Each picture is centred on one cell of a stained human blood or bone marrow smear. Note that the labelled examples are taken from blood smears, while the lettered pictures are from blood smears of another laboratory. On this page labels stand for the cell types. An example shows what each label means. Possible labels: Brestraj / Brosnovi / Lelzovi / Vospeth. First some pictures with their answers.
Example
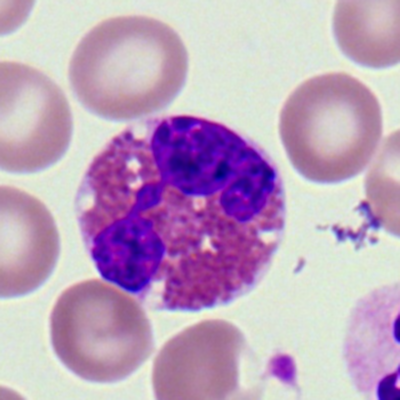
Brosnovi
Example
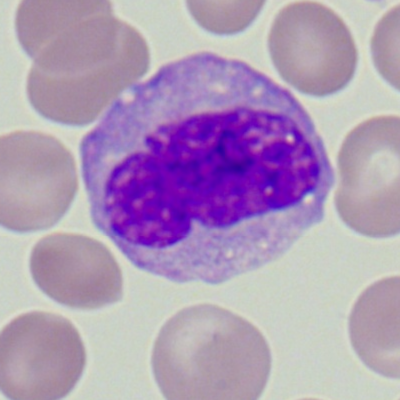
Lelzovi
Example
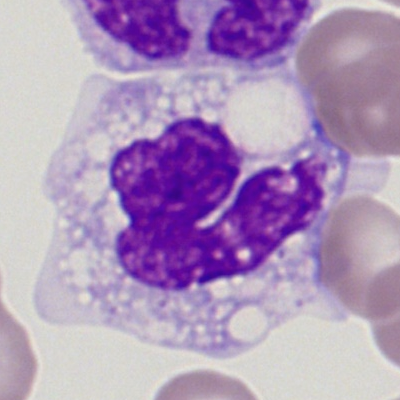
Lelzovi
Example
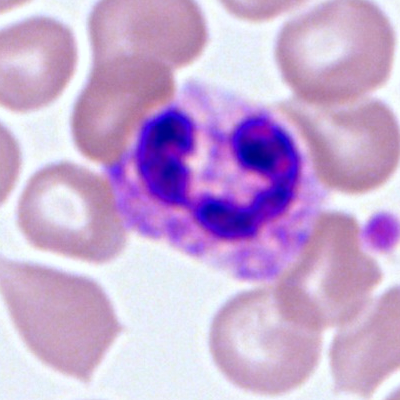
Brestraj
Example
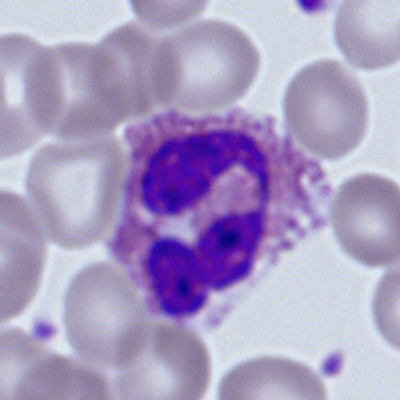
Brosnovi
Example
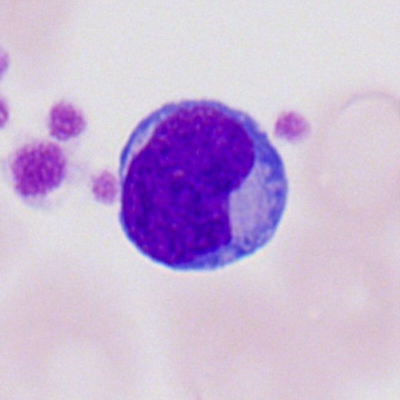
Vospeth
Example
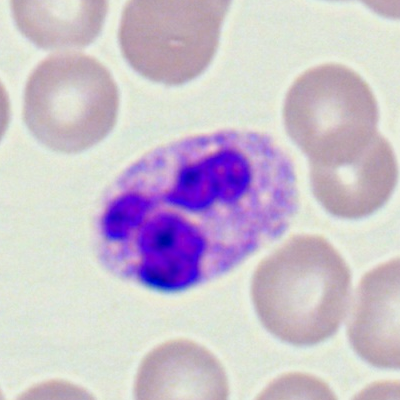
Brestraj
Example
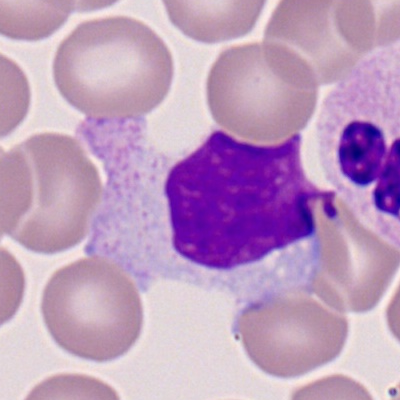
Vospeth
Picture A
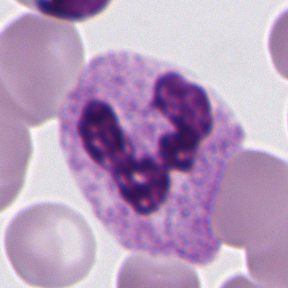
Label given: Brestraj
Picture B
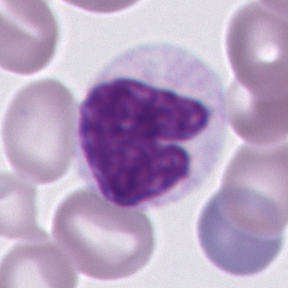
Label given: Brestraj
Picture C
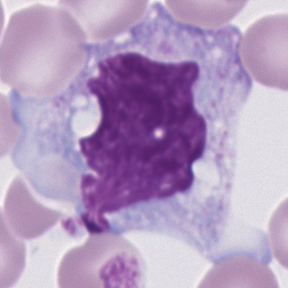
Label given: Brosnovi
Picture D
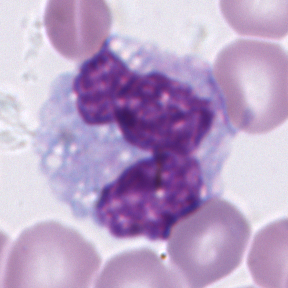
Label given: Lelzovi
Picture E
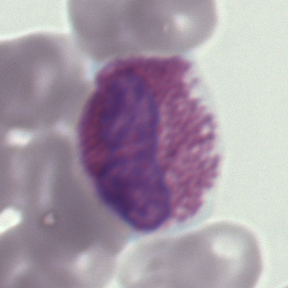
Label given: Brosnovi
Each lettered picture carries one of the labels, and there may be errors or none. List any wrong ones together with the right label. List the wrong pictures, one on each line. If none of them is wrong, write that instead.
C is labelled Brosnovi; correct label: Lelzovi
